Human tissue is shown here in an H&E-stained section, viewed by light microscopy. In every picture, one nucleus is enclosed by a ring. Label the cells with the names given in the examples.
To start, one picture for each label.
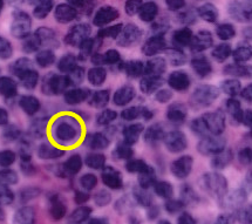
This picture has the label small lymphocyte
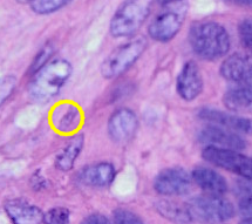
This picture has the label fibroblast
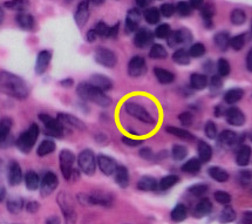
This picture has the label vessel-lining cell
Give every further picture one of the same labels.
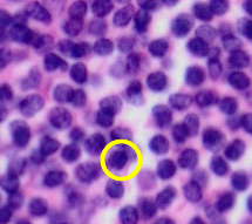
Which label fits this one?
small lymphocyte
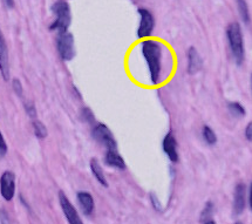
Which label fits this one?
vessel-lining cell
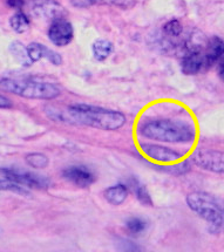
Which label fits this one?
vessel-lining cell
